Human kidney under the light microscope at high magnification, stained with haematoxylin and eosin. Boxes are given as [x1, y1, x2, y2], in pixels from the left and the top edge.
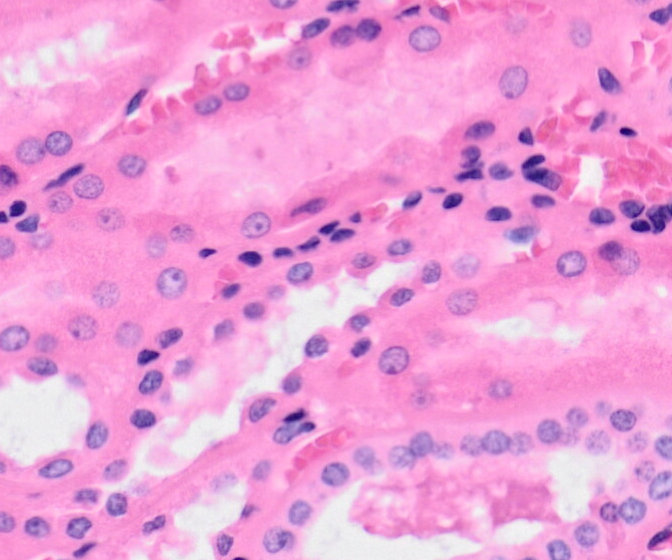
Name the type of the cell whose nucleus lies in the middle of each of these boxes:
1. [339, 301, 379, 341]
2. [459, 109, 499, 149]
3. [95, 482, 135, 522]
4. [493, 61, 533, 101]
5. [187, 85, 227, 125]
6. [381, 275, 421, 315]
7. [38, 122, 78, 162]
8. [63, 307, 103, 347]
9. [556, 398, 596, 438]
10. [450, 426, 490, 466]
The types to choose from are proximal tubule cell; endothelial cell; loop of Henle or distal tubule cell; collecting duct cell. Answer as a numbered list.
1. loop of Henle or distal tubule cell
2. proximal tubule cell
3. loop of Henle or distal tubule cell
4. proximal tubule cell
5. proximal tubule cell
6. loop of Henle or distal tubule cell
7. proximal tubule cell
8. proximal tubule cell
9. collecting duct cell
10. collecting duct cell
